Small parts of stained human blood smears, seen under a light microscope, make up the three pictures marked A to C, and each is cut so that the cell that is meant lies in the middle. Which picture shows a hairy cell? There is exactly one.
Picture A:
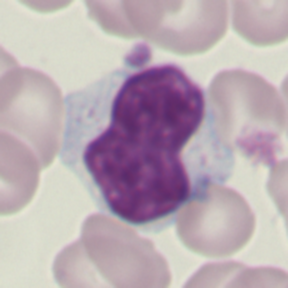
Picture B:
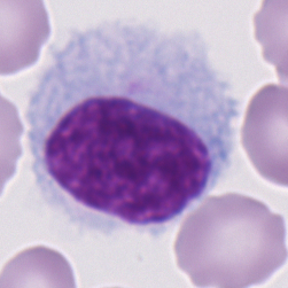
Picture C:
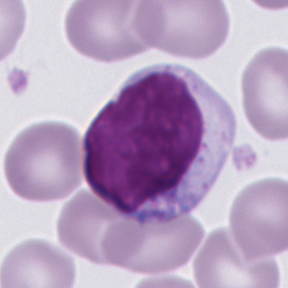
B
